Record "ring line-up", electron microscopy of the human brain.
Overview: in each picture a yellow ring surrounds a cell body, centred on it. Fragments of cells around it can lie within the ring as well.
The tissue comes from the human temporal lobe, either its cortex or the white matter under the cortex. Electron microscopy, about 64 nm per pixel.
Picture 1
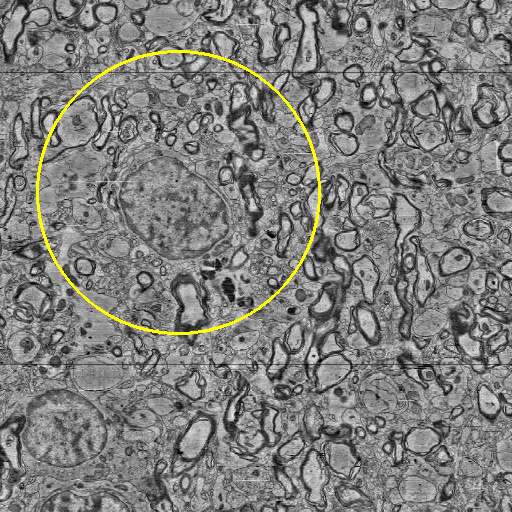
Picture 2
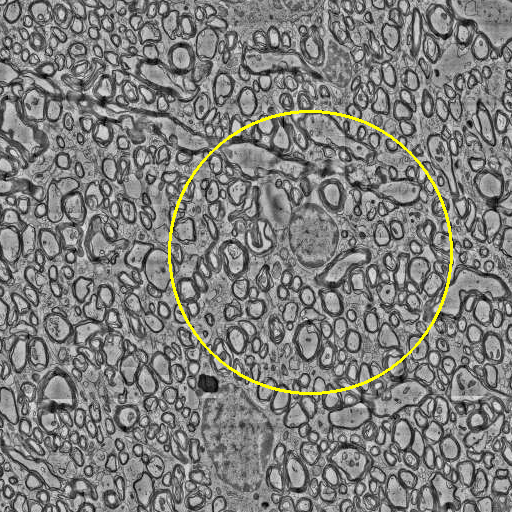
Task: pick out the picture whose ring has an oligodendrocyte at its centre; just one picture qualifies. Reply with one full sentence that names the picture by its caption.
Going by the cell at the ring's centre, the right choice is Picture 1.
